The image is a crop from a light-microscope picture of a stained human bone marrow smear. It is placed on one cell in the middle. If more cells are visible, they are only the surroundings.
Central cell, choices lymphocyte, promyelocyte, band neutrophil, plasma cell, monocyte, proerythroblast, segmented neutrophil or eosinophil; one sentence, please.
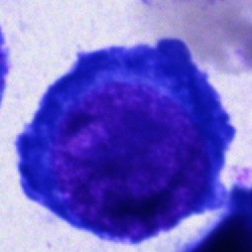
The cell nearest the centre of this crop is a proerythroblast.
